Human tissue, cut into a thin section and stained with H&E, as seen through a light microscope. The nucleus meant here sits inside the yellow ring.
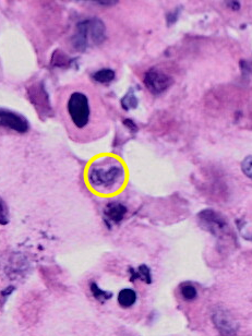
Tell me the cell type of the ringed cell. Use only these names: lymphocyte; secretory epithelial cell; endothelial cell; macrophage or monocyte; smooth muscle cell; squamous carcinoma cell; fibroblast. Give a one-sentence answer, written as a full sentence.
In this field of tissue, the ringed cell is a macrophage or monocyte.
